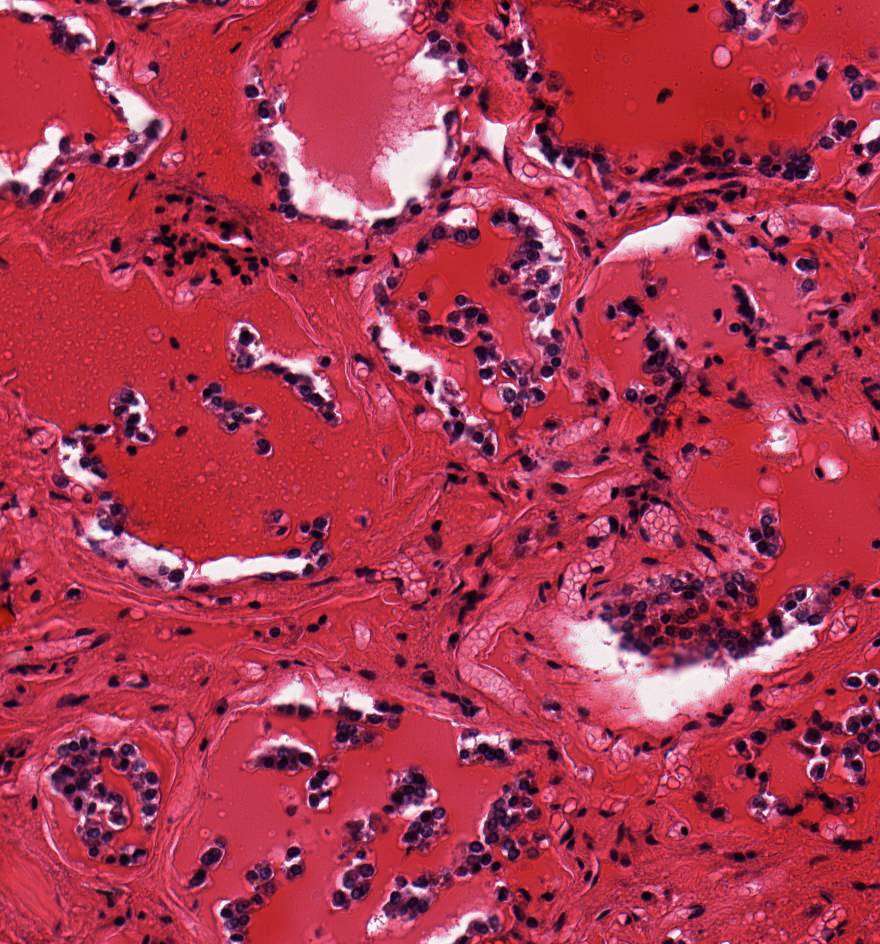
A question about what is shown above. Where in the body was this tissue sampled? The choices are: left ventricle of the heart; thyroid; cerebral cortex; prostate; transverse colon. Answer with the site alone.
thyroid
